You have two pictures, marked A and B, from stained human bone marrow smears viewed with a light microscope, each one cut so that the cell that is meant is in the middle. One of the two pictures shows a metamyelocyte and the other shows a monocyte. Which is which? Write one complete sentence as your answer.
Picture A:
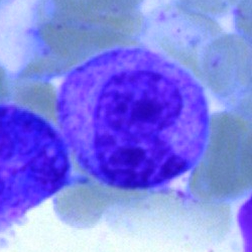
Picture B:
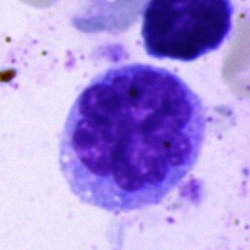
The cell in picture A is a metamyelocyte, and the one in picture B is a monocyte.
